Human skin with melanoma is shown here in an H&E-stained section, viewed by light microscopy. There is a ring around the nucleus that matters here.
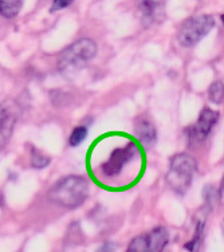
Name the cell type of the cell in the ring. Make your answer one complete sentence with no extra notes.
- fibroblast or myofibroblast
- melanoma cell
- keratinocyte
So far as cell type goes, the cell in the ring is a melanoma cell.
